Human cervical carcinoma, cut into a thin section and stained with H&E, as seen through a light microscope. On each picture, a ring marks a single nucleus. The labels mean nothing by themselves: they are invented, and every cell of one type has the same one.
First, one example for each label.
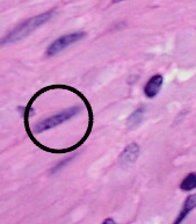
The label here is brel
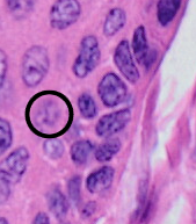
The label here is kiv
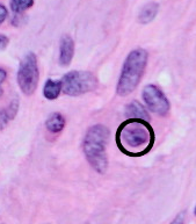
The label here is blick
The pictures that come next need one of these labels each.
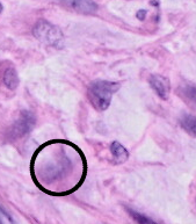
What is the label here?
brel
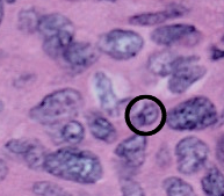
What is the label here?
kiv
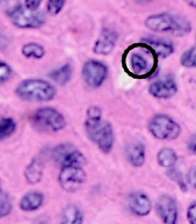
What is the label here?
kiv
